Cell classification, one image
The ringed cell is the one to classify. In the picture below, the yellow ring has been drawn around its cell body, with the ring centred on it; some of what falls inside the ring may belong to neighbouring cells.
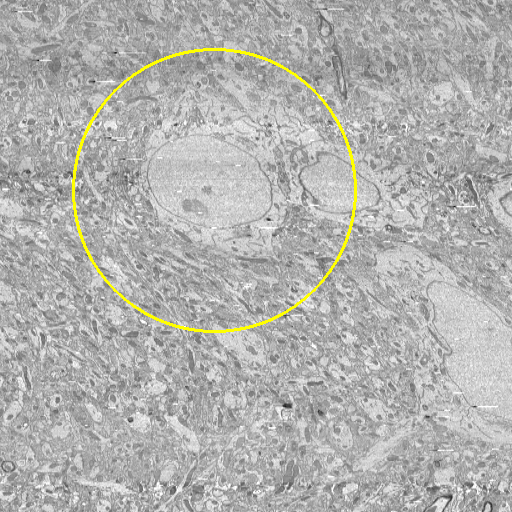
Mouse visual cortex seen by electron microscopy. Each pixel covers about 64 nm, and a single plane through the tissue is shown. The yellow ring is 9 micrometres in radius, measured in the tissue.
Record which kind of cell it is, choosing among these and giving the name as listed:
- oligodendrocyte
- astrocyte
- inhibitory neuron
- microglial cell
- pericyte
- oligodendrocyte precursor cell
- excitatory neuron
excitatory neuron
